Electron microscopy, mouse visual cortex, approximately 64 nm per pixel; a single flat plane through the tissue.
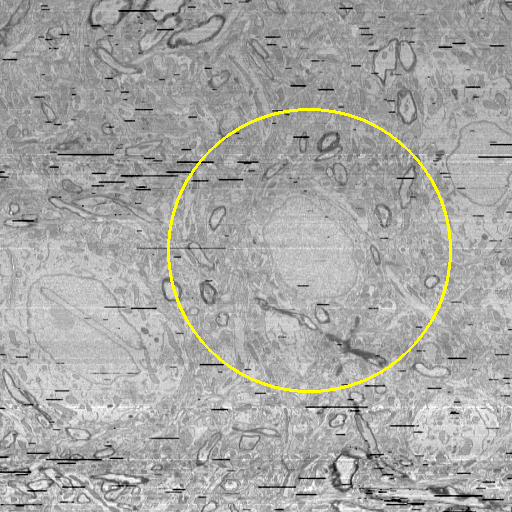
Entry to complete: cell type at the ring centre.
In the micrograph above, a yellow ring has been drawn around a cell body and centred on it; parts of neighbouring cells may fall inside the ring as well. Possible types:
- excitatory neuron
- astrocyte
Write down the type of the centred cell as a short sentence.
The ring is centred on an astrocyte.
